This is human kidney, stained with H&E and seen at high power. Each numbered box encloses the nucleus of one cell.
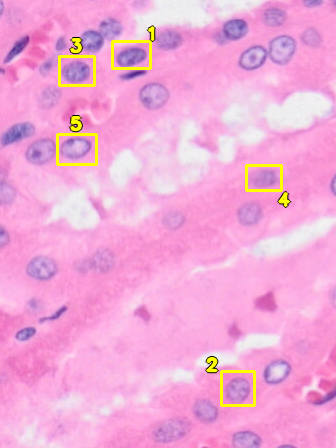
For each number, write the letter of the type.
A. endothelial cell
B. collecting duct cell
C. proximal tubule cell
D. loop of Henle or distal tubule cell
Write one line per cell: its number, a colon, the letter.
1: D
2: C
3: D
4: C
5: C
